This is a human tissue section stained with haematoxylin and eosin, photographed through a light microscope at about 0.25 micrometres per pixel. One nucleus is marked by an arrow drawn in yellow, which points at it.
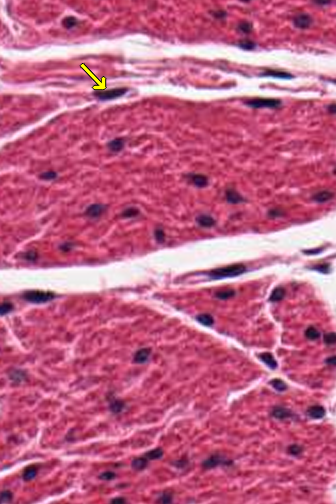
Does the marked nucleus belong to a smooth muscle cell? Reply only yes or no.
no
